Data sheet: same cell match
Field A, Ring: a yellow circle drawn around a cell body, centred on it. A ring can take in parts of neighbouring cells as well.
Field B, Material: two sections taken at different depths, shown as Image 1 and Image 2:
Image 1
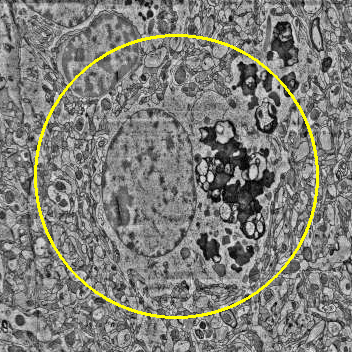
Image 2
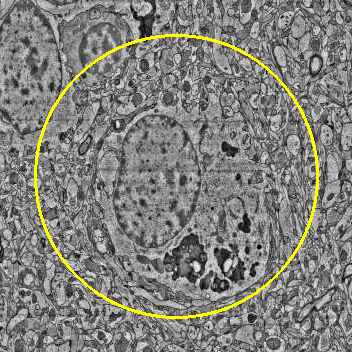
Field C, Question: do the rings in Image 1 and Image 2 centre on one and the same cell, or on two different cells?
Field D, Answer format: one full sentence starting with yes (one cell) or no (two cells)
Yes, both rings are placed on a single cell.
